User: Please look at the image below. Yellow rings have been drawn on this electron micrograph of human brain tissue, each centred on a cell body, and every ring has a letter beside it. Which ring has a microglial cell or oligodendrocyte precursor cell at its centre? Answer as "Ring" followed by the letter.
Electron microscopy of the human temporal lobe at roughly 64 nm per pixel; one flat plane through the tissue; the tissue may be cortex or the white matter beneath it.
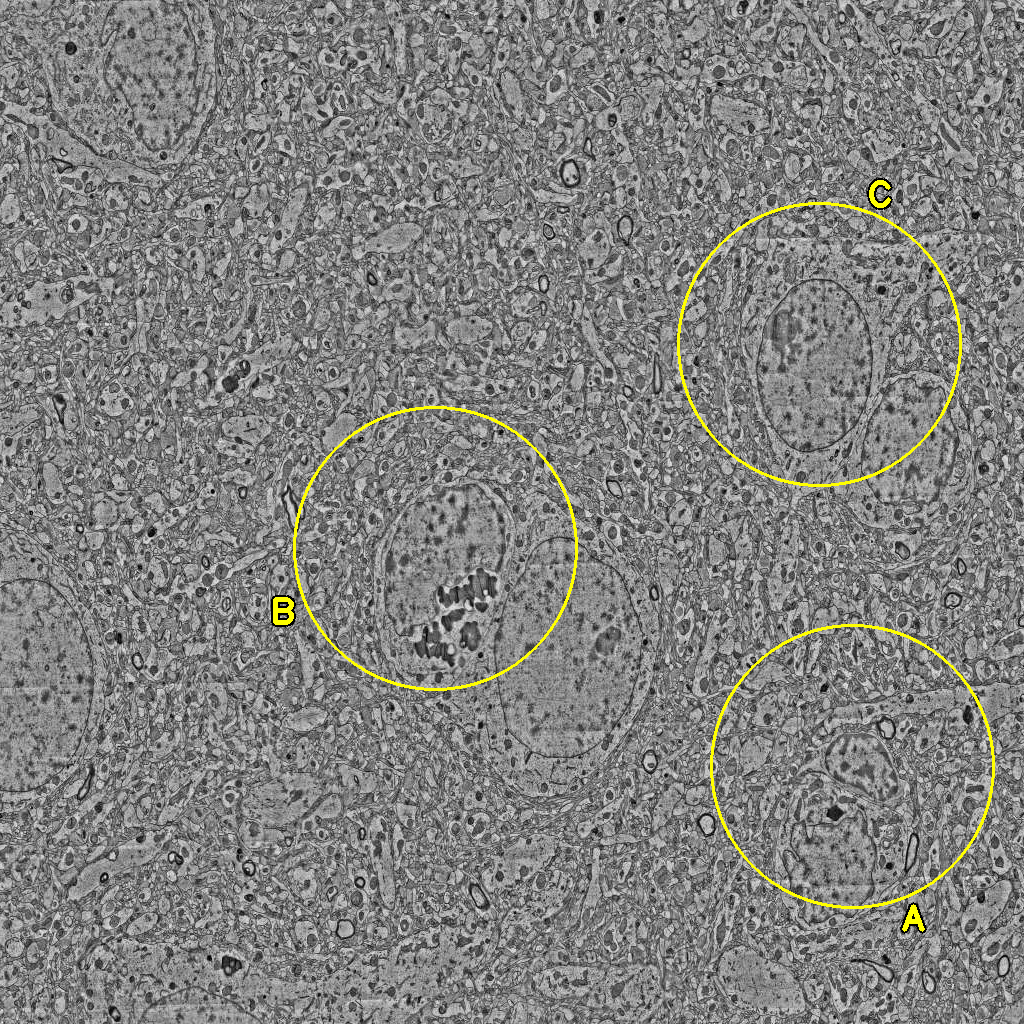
Ring A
